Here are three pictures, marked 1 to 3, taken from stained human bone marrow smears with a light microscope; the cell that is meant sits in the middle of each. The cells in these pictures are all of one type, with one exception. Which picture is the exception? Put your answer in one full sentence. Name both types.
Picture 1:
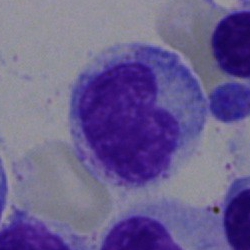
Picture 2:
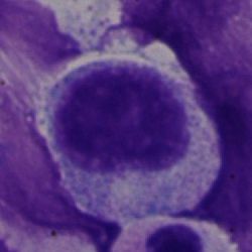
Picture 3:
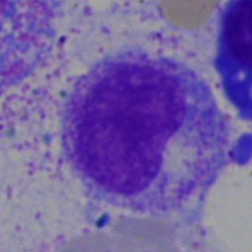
The different one is picture 2; it shows a myelocyte, whereas all the others show metamyelocytes.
